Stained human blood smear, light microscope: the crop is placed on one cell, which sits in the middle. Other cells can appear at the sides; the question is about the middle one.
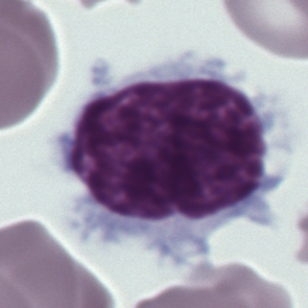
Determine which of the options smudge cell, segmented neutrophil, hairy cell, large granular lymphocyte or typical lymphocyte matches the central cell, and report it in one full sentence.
The cell the crop is centered on is a hairy cell.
